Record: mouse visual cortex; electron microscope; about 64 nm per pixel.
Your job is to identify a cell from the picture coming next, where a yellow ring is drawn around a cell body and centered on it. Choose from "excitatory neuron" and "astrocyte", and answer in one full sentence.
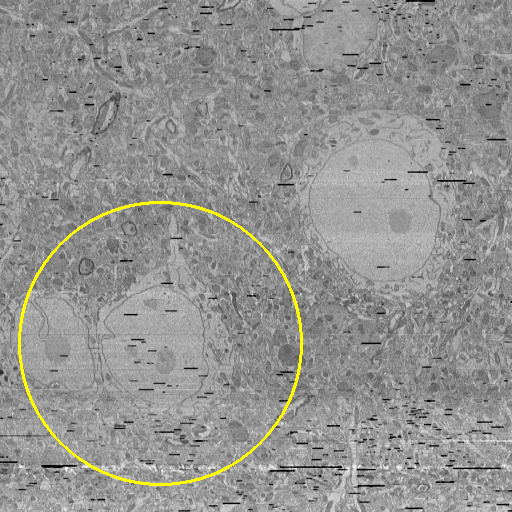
Centered in the yellow ring of the picture is the body of an excitatory neuron.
